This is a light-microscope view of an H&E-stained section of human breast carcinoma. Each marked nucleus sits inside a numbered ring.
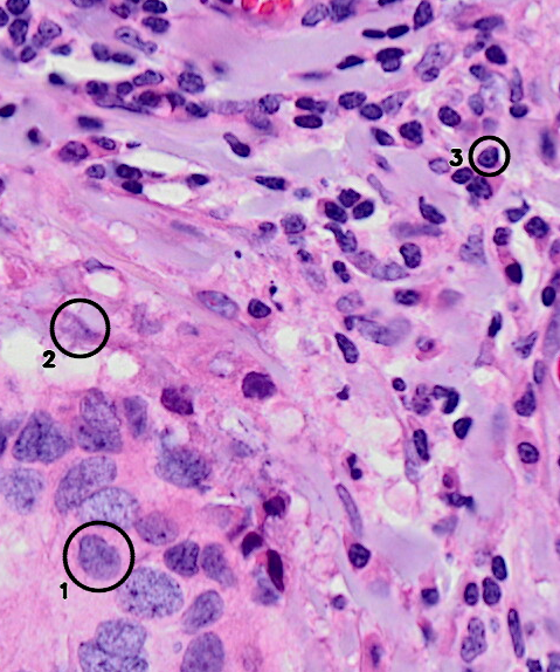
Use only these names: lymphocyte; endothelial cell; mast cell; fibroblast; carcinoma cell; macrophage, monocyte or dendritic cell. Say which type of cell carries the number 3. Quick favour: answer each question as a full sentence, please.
The cell indicated by marker 3 is a lymphocyte in this section.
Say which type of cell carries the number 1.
Classified as a carcinoma cell is the cell with the number 1.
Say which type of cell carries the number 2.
Regarding cell 2, this one is a fibroblast.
